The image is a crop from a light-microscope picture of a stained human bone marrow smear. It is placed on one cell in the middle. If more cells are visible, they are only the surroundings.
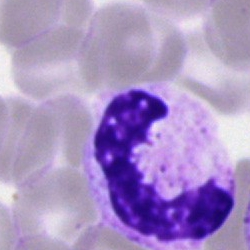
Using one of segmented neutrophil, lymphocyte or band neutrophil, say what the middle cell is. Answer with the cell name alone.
band neutrophil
